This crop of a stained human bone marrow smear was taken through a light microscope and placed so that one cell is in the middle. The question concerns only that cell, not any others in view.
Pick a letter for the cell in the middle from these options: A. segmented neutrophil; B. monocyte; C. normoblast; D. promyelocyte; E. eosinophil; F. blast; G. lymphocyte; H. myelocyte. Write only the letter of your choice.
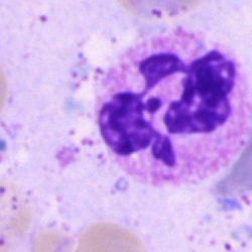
A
